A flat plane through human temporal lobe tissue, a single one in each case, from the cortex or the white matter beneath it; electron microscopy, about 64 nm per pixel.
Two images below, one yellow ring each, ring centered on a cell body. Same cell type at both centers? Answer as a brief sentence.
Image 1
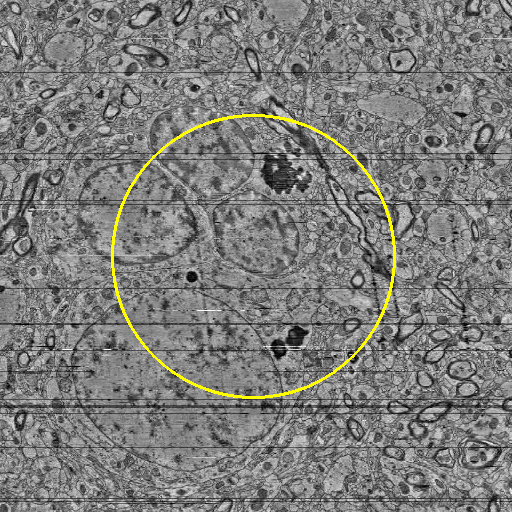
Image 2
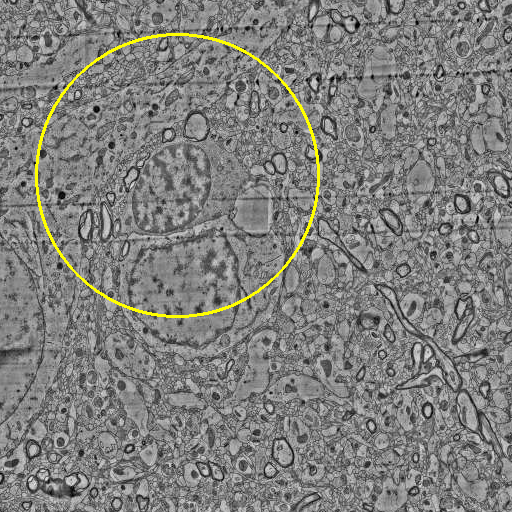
Yes, both cells are of the same type.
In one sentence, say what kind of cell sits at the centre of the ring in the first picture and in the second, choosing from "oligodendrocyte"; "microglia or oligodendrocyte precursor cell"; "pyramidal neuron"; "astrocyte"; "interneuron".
Each of the two rings is centred on an oligodendrocyte.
